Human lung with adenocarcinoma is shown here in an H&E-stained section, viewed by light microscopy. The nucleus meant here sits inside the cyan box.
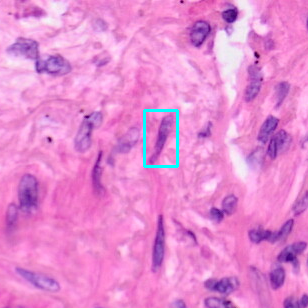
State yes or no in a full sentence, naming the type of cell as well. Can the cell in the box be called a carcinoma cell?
No, sorry, but the cell in the box is a smooth muscle cell or pericyte and not a carcinoma cell.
